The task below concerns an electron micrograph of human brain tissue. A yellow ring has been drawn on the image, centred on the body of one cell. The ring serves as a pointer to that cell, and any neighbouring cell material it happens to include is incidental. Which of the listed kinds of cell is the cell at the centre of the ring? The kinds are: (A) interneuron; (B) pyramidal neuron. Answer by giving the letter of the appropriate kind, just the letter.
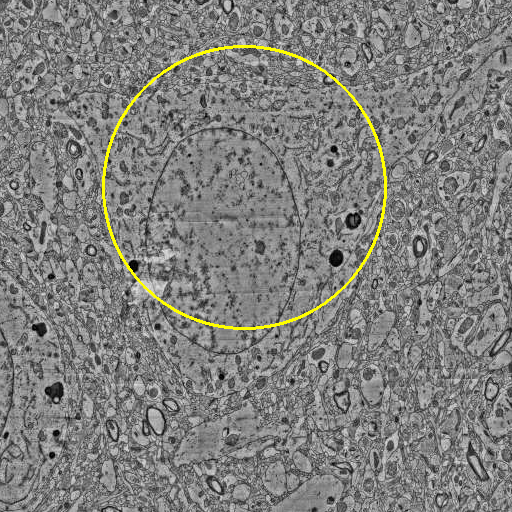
B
